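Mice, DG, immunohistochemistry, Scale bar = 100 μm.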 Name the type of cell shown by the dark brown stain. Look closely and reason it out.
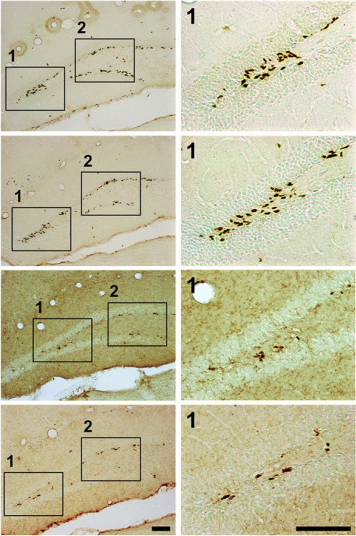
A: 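Small dark brown nuclei lie along the inner edge of a curved band of pale cells. The stained nuclei sit in small groups rather than scattered singly.
Conclusion: progenitor cells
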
